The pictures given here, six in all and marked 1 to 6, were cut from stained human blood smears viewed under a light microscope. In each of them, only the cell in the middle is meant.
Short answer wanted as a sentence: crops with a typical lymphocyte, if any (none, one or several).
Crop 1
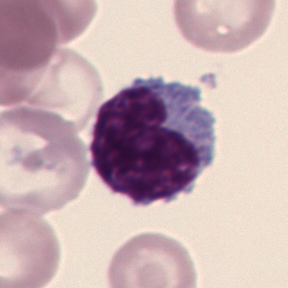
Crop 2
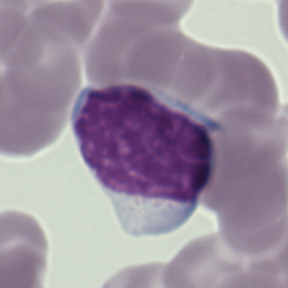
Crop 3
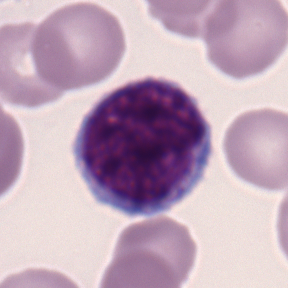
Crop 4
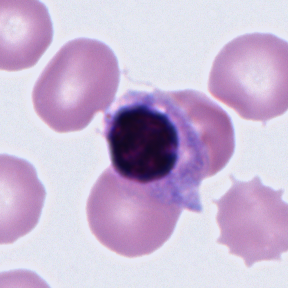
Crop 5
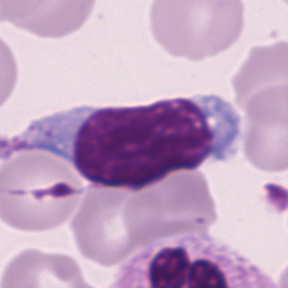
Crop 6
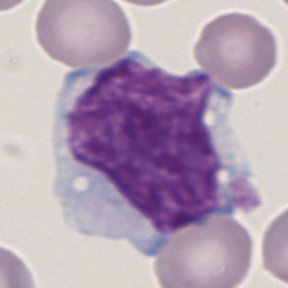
The cells at the centre of crops 1, 3 and 5 represent typical lymphocytes.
